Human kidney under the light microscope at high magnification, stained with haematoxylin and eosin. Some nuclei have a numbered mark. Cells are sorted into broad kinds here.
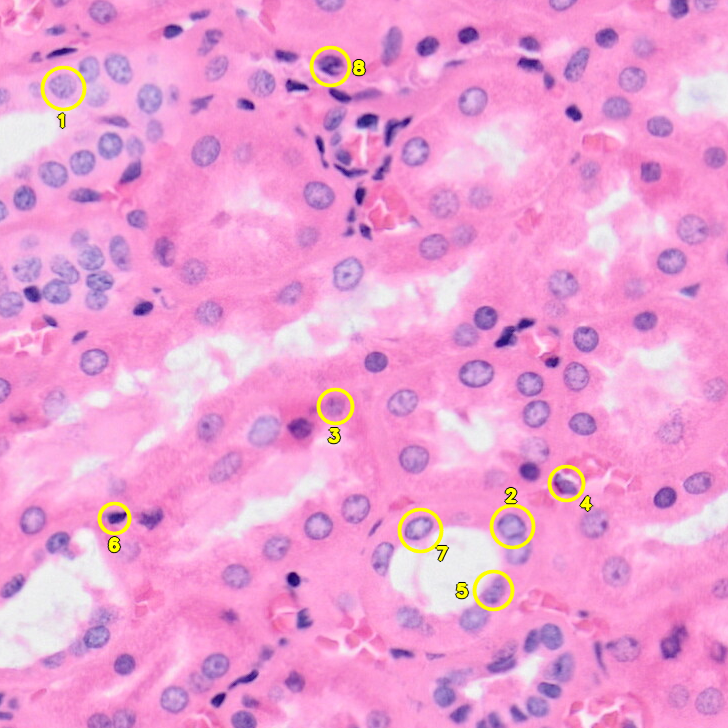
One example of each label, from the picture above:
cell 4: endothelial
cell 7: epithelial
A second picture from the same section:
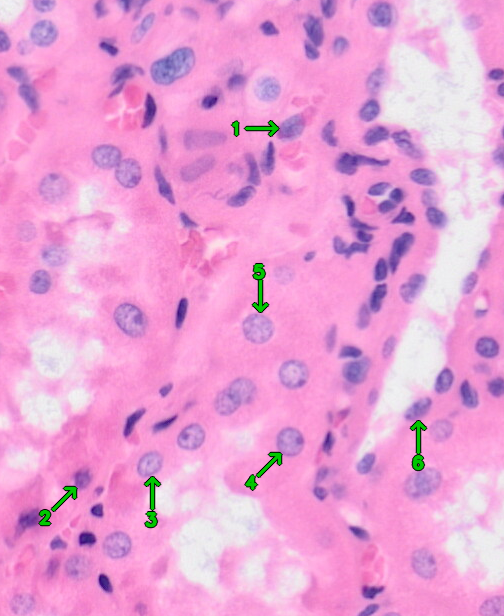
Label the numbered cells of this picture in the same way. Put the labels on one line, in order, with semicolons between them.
endothelial; epithelial; epithelial; epithelial; epithelial; epithelial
